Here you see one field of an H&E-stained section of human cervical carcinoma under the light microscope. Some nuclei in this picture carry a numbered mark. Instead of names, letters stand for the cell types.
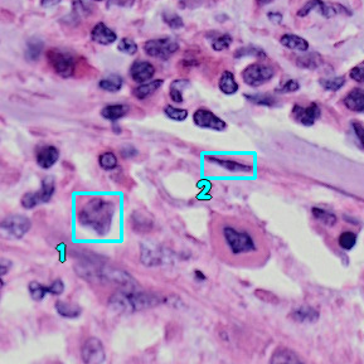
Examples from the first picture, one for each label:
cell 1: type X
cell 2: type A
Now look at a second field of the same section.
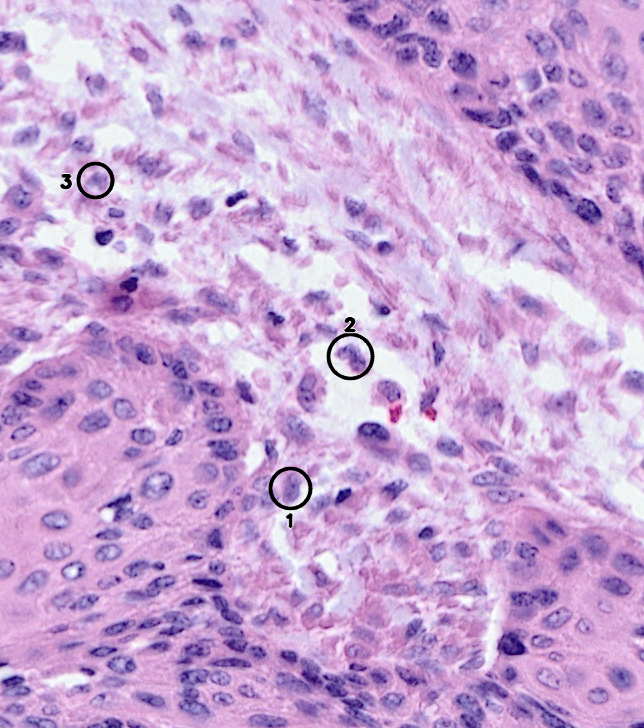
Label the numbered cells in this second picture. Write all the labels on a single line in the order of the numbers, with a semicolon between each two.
type X; type X; type A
